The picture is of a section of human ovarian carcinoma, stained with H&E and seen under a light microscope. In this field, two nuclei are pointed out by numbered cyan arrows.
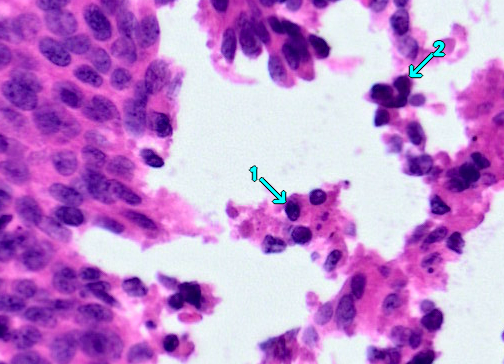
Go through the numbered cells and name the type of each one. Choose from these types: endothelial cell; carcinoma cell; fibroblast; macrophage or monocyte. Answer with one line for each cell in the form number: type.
1: macrophage or monocyte
2: carcinoma cell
